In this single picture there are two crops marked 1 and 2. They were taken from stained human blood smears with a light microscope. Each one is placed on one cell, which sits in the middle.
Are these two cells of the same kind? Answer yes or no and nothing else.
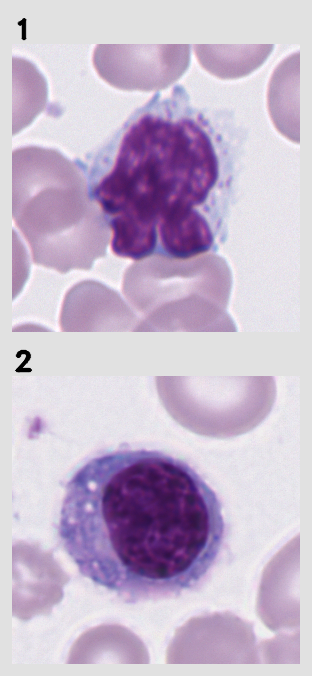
no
